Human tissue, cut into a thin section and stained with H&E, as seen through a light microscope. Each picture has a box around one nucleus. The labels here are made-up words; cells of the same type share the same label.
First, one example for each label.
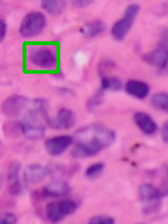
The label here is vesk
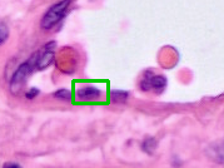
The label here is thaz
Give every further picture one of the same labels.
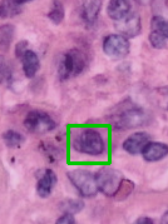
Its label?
vesk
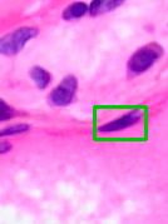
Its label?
thaz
